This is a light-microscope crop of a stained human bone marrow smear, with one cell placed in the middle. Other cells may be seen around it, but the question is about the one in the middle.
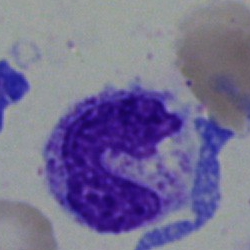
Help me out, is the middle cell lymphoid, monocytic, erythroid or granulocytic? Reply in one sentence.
The lineage to which the central cell belongs is the monocytic lineage.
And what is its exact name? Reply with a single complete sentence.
The cell in the middle of this crop is a monocyte.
